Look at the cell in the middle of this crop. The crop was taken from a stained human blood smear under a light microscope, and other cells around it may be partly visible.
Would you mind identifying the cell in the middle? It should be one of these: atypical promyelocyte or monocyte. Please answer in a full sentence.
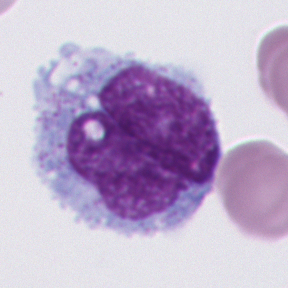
Looking at the middle of the crop, the cell there is a monocyte.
